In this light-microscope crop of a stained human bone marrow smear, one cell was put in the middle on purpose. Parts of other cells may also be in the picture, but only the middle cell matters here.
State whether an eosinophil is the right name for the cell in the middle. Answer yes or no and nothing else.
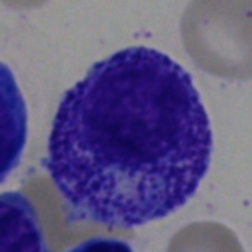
no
